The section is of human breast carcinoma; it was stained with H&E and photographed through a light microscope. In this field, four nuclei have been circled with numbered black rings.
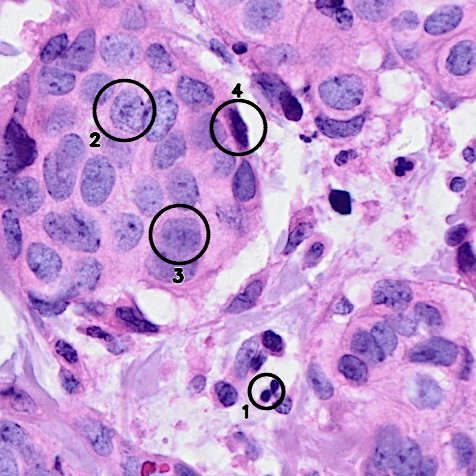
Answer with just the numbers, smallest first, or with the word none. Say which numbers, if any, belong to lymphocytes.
1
